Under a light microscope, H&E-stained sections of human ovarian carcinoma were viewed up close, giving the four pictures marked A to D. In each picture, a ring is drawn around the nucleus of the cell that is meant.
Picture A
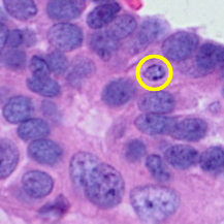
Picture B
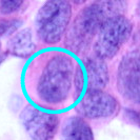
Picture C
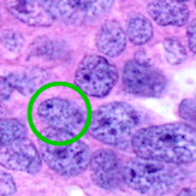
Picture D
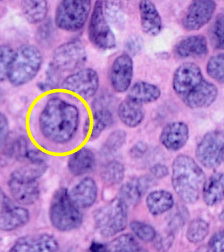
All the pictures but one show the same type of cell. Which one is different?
A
